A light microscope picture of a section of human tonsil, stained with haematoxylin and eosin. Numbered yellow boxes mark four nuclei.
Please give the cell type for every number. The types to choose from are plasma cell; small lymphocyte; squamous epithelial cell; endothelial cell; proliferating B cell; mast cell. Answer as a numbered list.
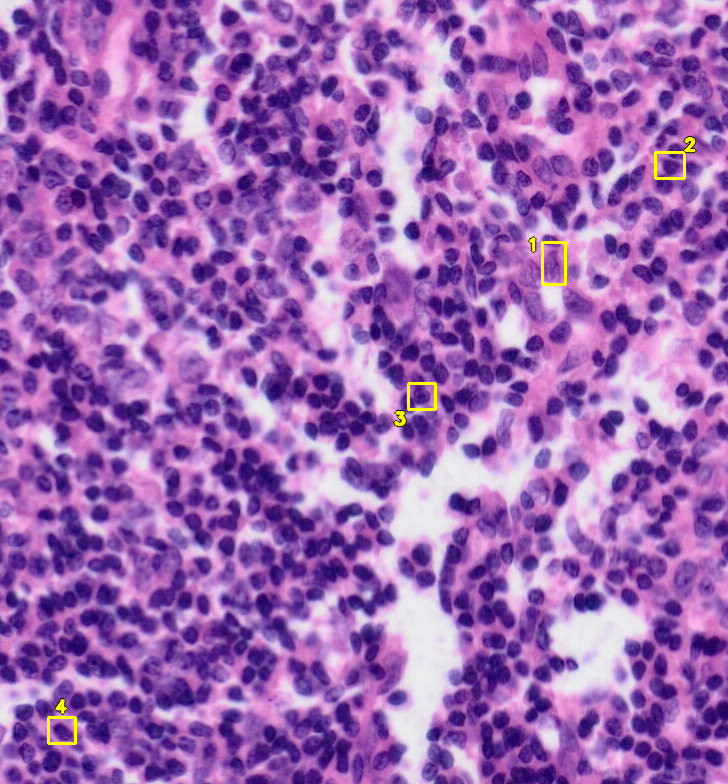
1. endothelial cell
2. small lymphocyte
3. small lymphocyte
4. small lymphocyte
